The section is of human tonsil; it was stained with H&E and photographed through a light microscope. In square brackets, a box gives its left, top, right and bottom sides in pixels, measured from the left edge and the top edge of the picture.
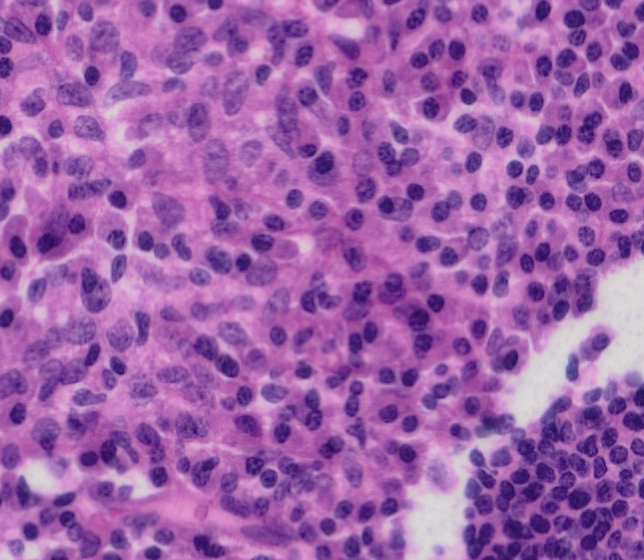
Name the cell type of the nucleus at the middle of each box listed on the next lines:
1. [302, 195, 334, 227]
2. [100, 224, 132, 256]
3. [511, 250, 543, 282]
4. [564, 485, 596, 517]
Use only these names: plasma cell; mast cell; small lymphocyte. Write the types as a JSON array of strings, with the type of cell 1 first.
["plasma cell", "plasma cell", "plasma cell", "small lymphocyte"]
